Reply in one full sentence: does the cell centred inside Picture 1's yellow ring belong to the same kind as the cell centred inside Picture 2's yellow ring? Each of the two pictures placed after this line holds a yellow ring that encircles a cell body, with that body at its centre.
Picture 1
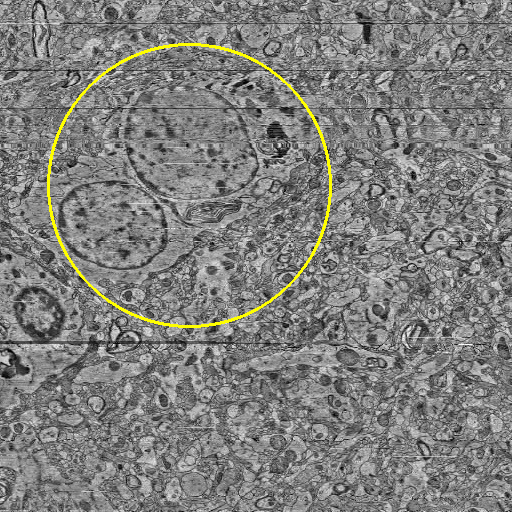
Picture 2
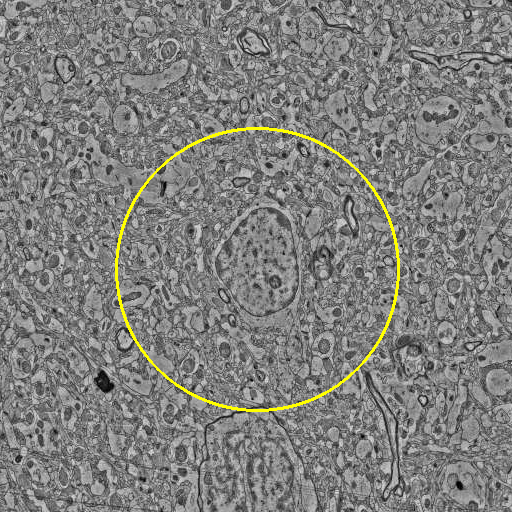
No, the ring-centred cells in Picture 1 and Picture 2 are of two separate kinds.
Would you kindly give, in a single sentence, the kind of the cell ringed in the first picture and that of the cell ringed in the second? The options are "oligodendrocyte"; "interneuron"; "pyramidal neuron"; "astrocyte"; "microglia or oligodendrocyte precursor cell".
The second cell is a microglial cell or oligodendrocyte precursor cell, and the first cell is an astrocyte.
